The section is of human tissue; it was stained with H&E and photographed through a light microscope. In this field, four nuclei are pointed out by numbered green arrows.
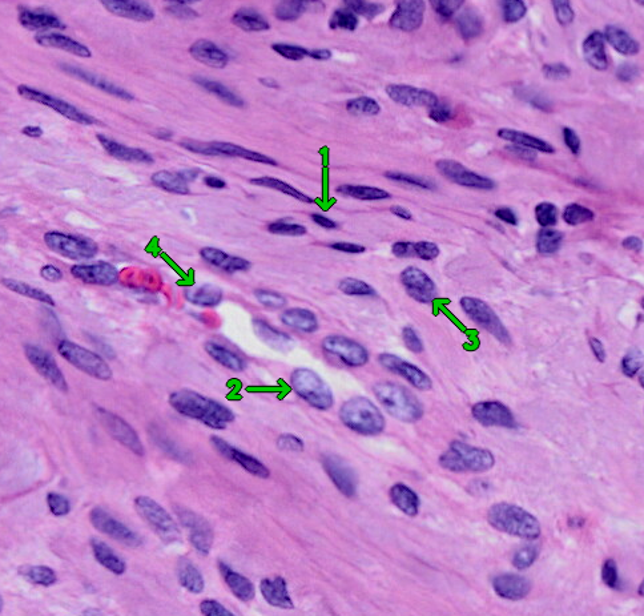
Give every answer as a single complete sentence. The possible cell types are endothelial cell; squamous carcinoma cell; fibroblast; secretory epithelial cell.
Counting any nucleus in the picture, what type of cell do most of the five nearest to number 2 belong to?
Most of the five nuclei nearest to number 2 are those of endothelial cells.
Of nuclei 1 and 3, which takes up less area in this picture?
Number 1 is smaller, since number 3 takes up about 3 times as much area.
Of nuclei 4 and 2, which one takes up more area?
Number 2 is larger; its area is about 1.5 times that of number 4.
